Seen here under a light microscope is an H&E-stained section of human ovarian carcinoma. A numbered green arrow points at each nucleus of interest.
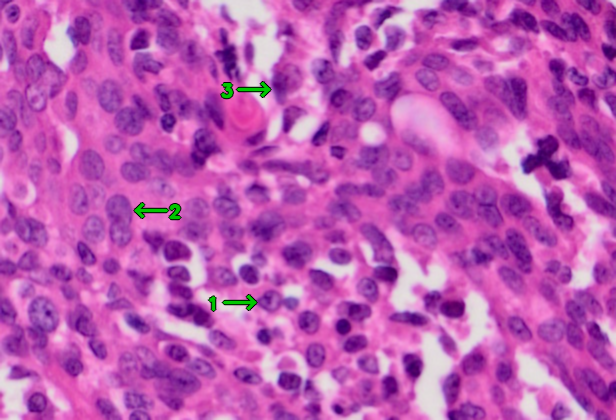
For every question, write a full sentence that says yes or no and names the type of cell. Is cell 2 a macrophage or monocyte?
No, calling cell 2 a macrophage or monocyte is incorrect; it is a carcinoma cell.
